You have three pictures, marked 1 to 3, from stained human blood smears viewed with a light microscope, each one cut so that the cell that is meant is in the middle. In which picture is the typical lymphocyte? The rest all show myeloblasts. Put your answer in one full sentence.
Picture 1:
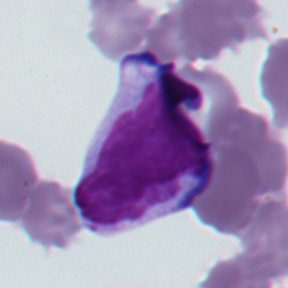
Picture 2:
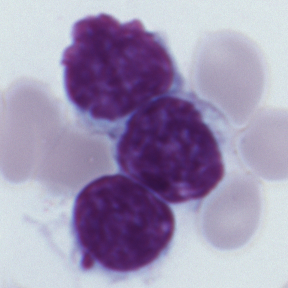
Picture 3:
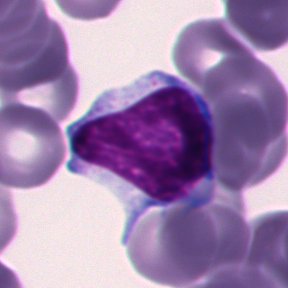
Picture 3 shows the typical lymphocyte.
